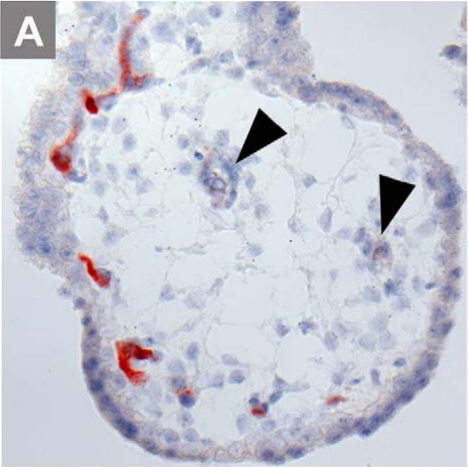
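This is a cross section of a placental chorionic villus, bounded by a continuous surface layer of closely packed cuboidal cells with blue nuclei. Inside lies a loose, pale, web-like stroma with sparse scattered cells. Small red-stained capillaries run just beneath the surface layer around the edge of the villus. Two larger vessels in the central stroma, marked by arrowheads, show no red stain.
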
